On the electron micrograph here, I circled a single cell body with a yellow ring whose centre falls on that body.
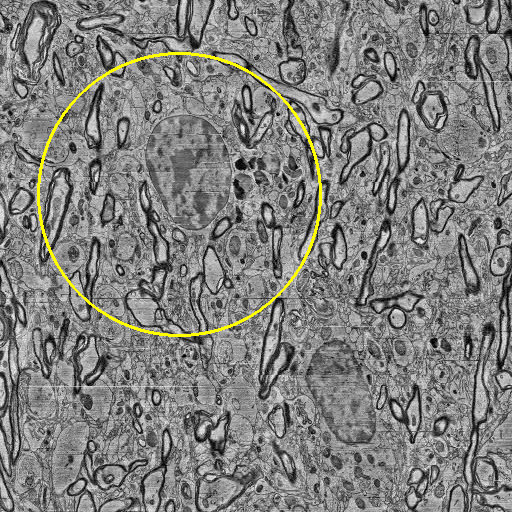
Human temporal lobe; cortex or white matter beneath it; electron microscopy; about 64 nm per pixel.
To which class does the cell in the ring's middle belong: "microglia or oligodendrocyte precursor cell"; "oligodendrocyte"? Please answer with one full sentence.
In this picture, the cell body circled at the ring's centre belongs to a microglial cell or oligodendrocyte precursor cell.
